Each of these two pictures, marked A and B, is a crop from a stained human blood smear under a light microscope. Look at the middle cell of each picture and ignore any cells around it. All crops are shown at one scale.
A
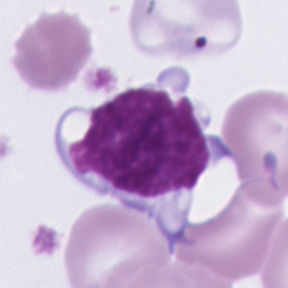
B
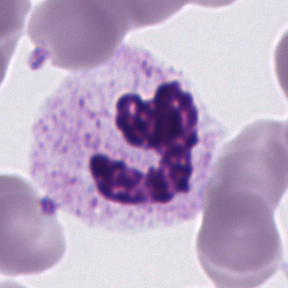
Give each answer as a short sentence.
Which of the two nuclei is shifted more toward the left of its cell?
The nucleus in crop A lies further toward the left of its cell.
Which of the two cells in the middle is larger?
Larger is the cell in crop B, at roughly 1.5 times the area of the other.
